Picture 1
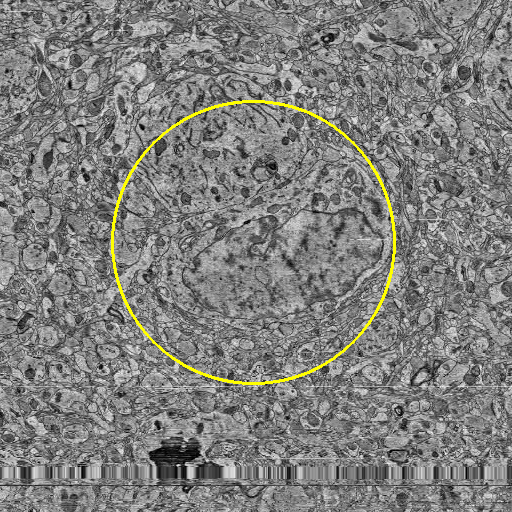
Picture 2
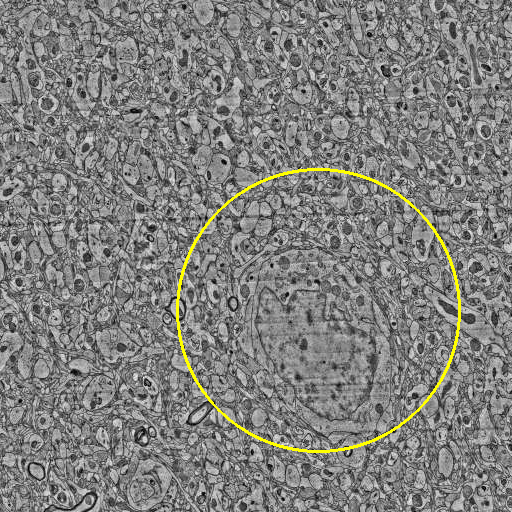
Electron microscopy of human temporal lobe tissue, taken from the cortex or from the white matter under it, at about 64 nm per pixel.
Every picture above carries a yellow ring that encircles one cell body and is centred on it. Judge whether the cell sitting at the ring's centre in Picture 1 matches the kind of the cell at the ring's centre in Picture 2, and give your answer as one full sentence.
Yes, the cells centred in the rings of Pictures 1 and 2 belong to one kind.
